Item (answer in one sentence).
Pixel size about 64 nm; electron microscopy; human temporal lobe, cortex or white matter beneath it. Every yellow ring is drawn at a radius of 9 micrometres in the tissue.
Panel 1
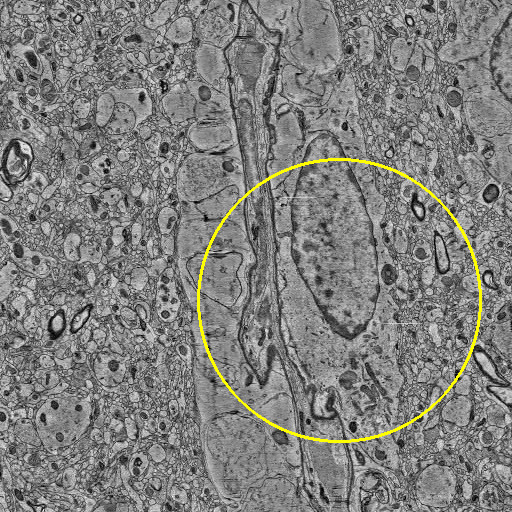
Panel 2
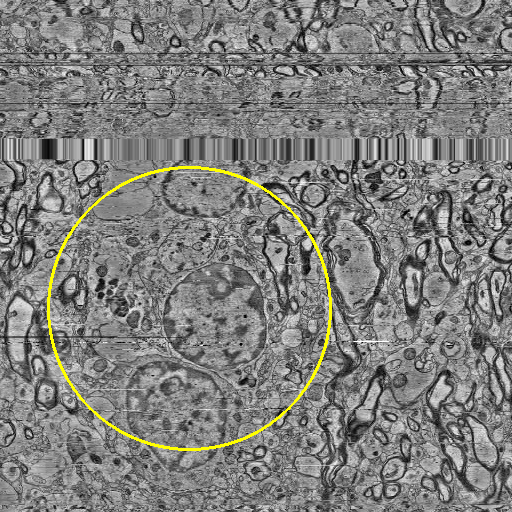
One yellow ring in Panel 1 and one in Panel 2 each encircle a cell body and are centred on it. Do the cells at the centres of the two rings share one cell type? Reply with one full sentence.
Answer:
Yes, Panel 1 and Panel 2 show cells of one type at the centres of their rings.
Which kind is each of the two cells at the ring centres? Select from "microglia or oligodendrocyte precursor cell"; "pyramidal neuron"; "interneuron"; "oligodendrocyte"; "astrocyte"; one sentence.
Each cell, in the first picture and the second, is a microglial cell or oligodendrocyte precursor cell.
